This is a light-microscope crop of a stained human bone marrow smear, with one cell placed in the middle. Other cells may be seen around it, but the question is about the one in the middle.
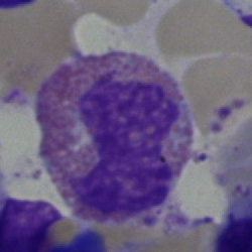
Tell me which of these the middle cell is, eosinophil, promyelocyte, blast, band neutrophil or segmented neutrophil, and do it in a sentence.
The cell sitting right in the middle is an eosinophil.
